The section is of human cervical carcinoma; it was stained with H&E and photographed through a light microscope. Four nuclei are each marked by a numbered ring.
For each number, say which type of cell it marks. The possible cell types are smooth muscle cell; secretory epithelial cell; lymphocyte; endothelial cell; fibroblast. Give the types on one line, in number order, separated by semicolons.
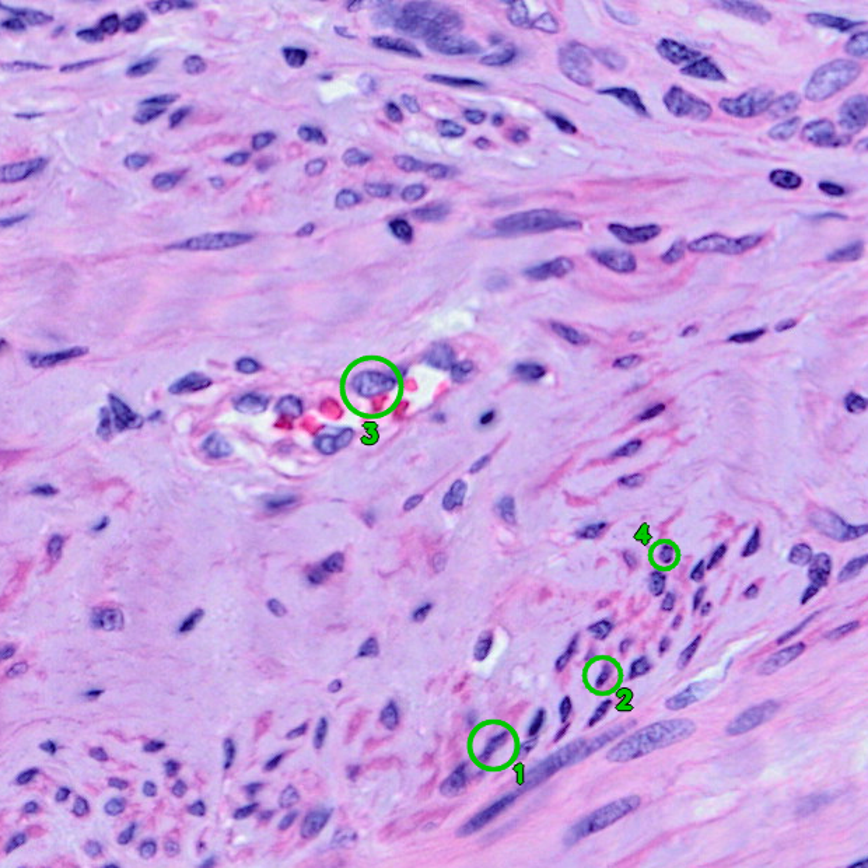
smooth muscle cell; smooth muscle cell; endothelial cell; smooth muscle cell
